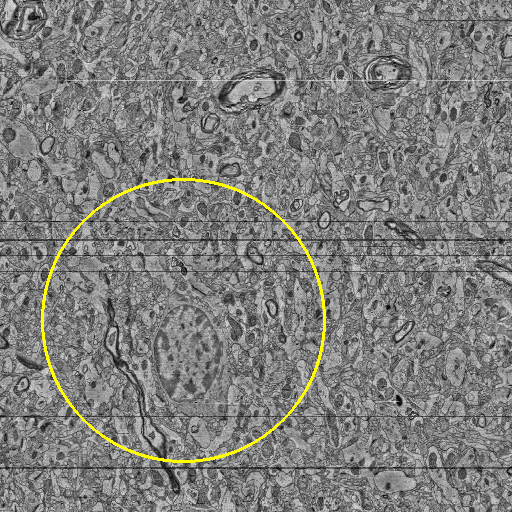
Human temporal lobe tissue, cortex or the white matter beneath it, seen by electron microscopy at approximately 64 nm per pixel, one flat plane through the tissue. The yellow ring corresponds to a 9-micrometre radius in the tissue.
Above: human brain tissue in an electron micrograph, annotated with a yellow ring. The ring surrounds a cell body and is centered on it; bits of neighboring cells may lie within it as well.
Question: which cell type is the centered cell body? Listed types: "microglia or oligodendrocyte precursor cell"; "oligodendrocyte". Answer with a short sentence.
The centered cell body is an oligodendrocyte.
